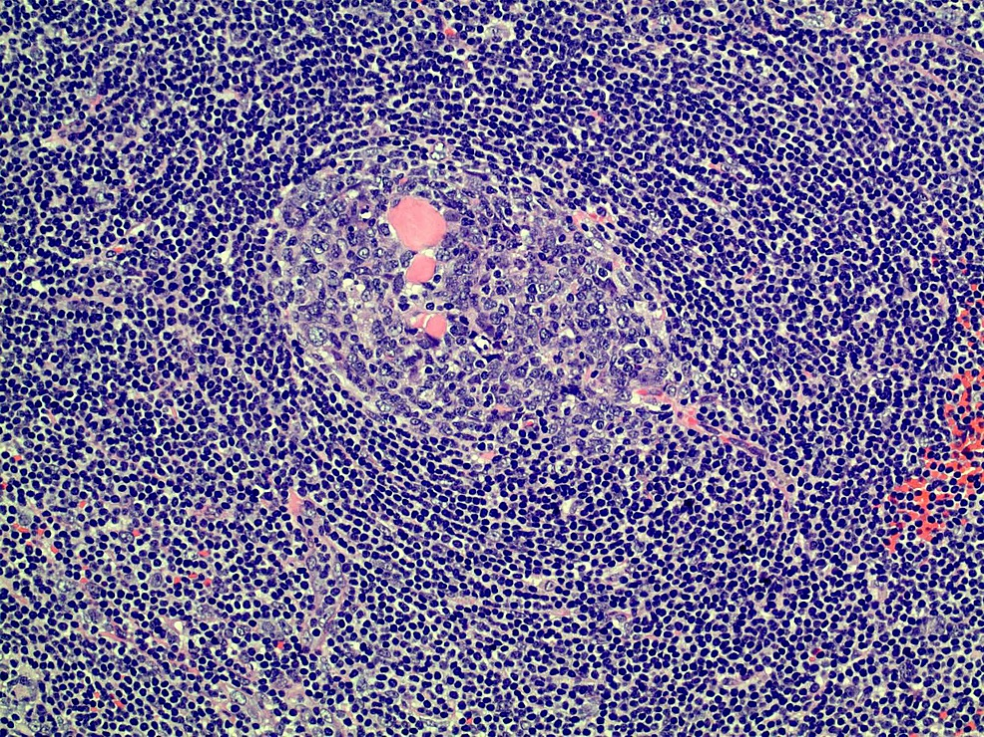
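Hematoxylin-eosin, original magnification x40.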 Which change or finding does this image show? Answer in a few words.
lollipop follicle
